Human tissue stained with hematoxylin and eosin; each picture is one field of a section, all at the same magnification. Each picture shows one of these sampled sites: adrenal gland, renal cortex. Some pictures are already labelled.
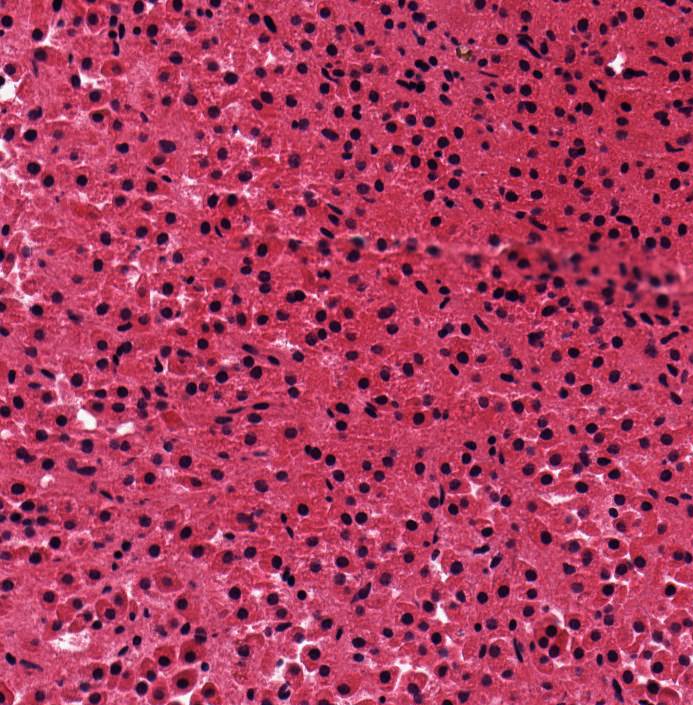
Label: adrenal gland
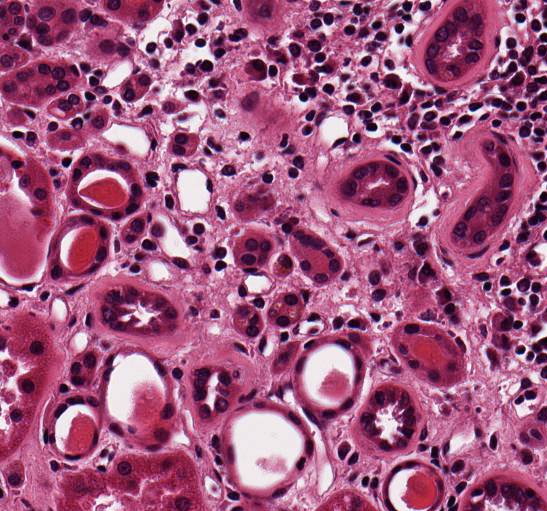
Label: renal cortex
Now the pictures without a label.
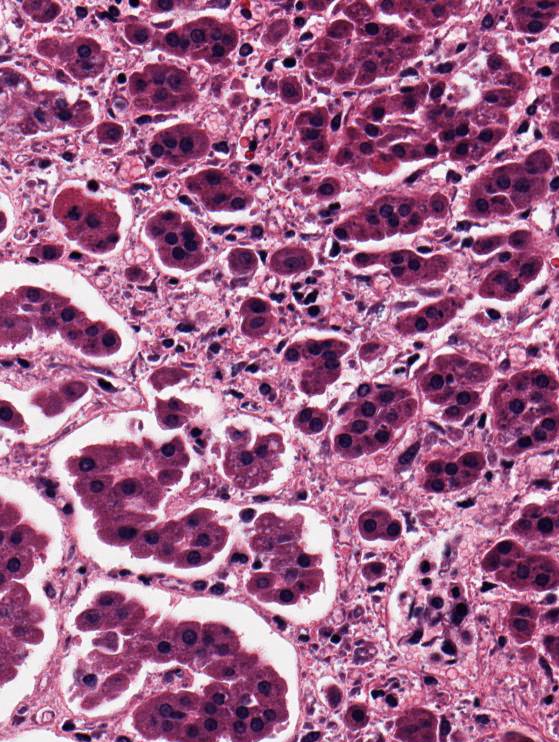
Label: adrenal gland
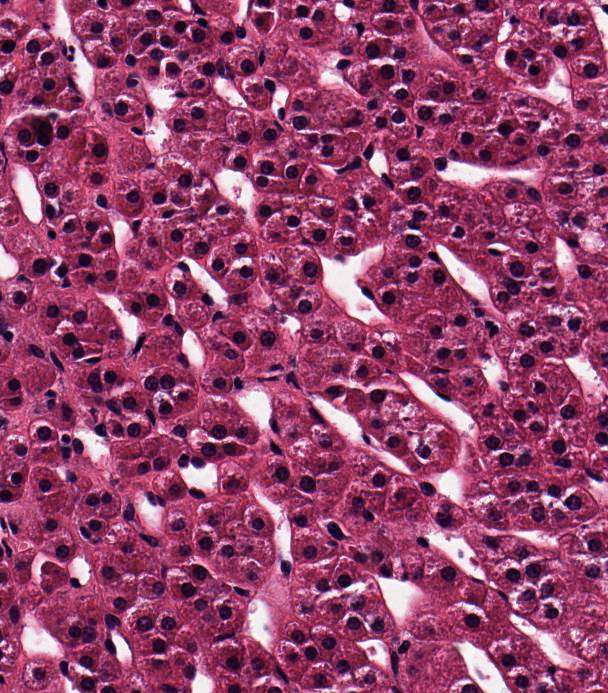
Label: adrenal gland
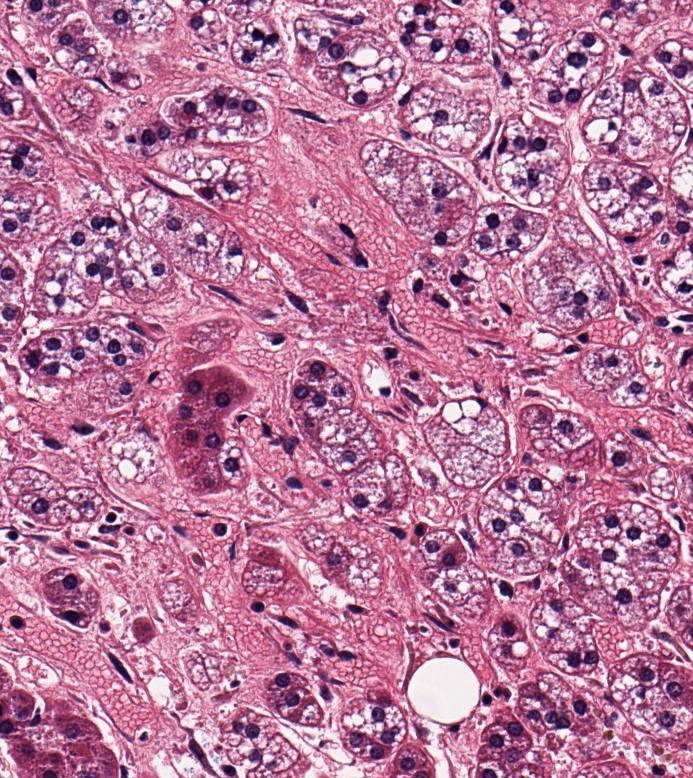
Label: adrenal gland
